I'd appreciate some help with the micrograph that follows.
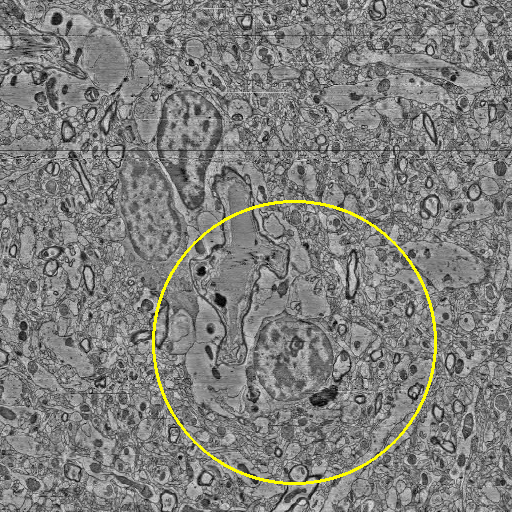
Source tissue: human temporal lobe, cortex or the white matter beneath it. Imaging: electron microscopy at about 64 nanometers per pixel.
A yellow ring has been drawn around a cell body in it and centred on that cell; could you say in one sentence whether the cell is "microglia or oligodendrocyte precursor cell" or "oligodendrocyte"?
It is an oligodendrocyte at the centre of the ring.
